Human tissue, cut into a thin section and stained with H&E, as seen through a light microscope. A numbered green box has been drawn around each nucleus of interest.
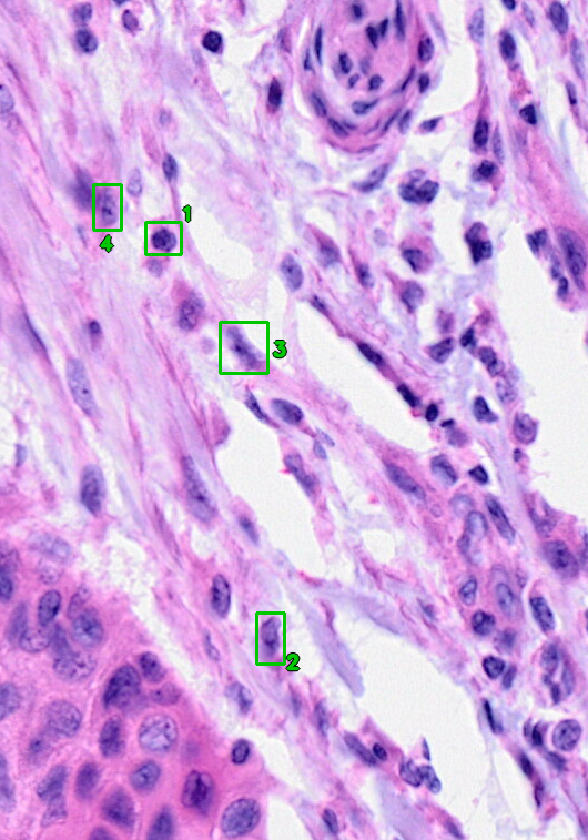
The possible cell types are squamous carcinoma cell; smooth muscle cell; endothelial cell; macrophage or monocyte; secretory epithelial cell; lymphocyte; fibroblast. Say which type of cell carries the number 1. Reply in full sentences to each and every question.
Of the numbered cells, the one labelled 1 is a lymphocyte.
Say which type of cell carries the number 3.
In this section, the cell tagged 3 is a fibroblast.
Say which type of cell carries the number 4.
The cell indicated with the number 4 is classed as an endothelial cell.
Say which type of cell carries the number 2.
The cell that carries the label 2 is a fibroblast.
